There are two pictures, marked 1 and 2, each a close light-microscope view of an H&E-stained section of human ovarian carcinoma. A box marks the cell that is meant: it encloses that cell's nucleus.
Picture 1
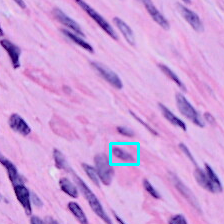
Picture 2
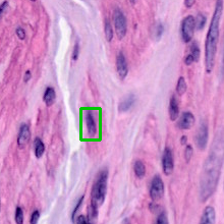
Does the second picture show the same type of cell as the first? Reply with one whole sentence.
Yes, the two pictures both show smooth muscle cells.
